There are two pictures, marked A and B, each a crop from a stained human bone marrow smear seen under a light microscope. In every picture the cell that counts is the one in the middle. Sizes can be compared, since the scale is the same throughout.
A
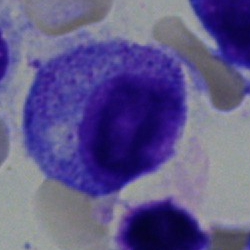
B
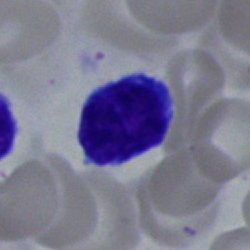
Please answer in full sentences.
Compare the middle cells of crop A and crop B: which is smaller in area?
The cell in crop B is smaller; the one in crop A has about 2.5 times its area.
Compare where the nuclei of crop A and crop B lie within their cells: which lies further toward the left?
In crop B the nucleus is shifted more toward the left.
